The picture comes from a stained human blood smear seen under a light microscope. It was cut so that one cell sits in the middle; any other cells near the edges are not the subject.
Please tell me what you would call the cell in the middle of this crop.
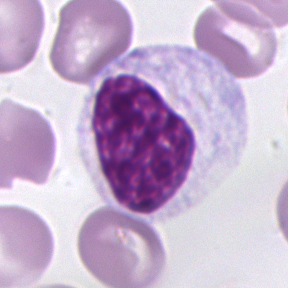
metamyelocyte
